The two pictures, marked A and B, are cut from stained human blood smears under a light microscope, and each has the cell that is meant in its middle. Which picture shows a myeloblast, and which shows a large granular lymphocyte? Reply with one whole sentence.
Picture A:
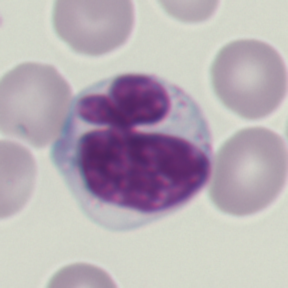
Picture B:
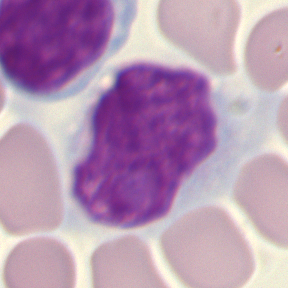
Picture B shows a myeloblast, while picture A shows a large granular lymphocyte.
